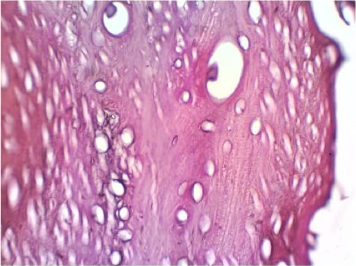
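A dense, compact pink matrix of collagen fibers fills most of the field. Many small round to oval clear spaces are scattered through it, along with a few larger round openings. The overall appearance is of compact bone matrix with lacunas, in a membrane without cells.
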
